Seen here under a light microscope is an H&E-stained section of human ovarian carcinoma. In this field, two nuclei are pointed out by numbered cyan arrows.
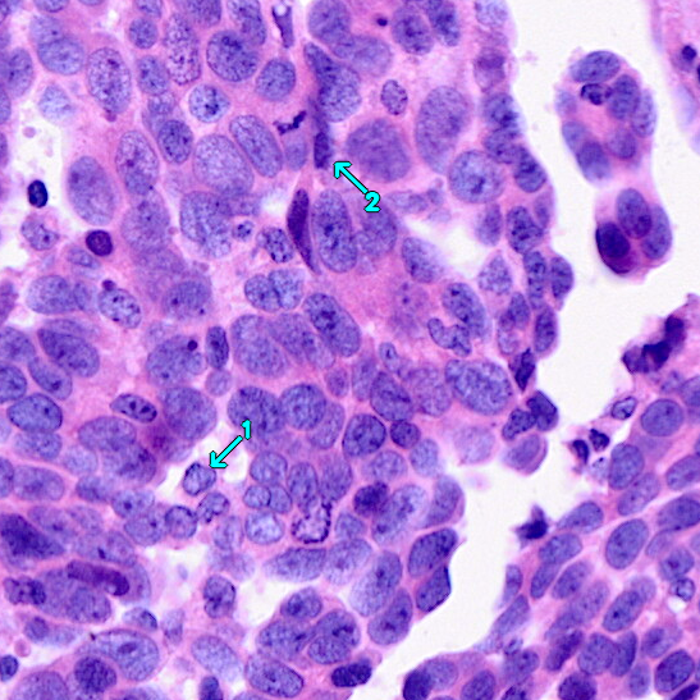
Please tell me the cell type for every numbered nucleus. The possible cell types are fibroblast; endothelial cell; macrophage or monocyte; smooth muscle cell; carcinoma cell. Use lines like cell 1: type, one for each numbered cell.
cell 1: macrophage or monocyte
cell 2: carcinoma cell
